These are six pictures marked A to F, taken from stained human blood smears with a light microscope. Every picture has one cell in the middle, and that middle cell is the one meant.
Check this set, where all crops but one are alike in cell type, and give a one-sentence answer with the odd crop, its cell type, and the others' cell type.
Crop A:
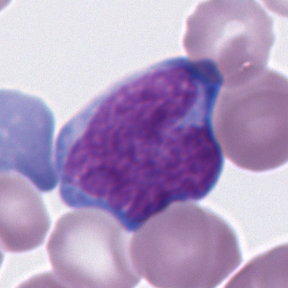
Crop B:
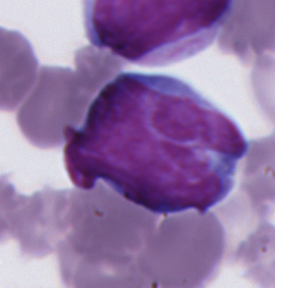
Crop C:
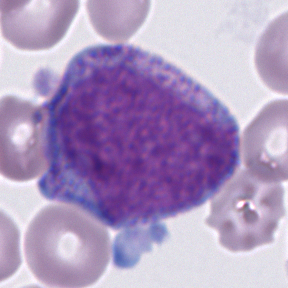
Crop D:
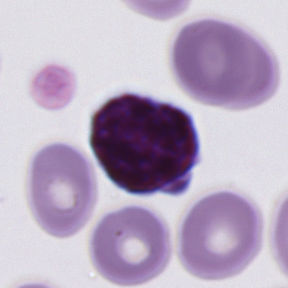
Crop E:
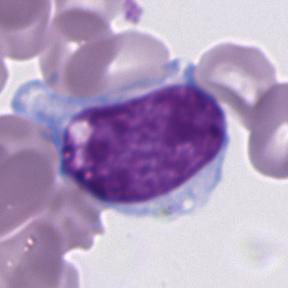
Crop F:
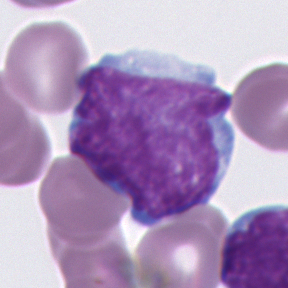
Among the crops, crop C is unique in showing a promyelocyte; the others show myeloblasts.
